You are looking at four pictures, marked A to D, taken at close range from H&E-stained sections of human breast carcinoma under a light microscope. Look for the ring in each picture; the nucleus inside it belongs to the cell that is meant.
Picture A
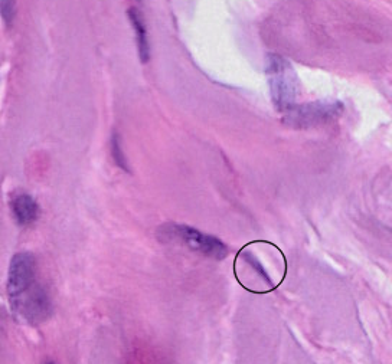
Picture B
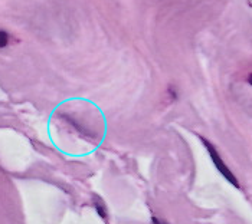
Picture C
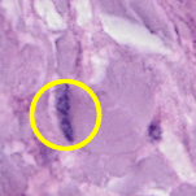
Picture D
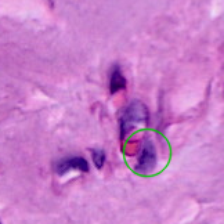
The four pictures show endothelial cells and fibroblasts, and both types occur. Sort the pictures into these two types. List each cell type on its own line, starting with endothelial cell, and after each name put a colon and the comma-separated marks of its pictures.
endothelial cell: D
fibroblast: A, B, C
